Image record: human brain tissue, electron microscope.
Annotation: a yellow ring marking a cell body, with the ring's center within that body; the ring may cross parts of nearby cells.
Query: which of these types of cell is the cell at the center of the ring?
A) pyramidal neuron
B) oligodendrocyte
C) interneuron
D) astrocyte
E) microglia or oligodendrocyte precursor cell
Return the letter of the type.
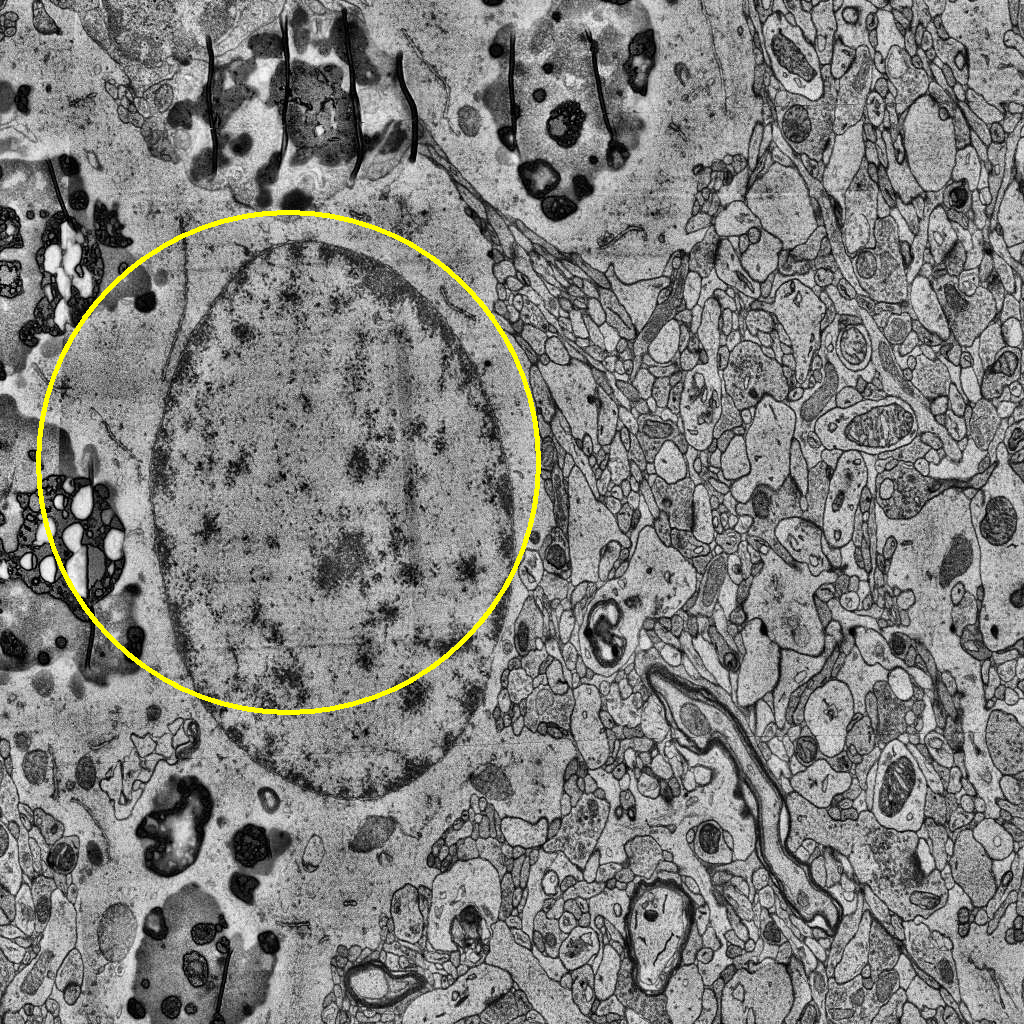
D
